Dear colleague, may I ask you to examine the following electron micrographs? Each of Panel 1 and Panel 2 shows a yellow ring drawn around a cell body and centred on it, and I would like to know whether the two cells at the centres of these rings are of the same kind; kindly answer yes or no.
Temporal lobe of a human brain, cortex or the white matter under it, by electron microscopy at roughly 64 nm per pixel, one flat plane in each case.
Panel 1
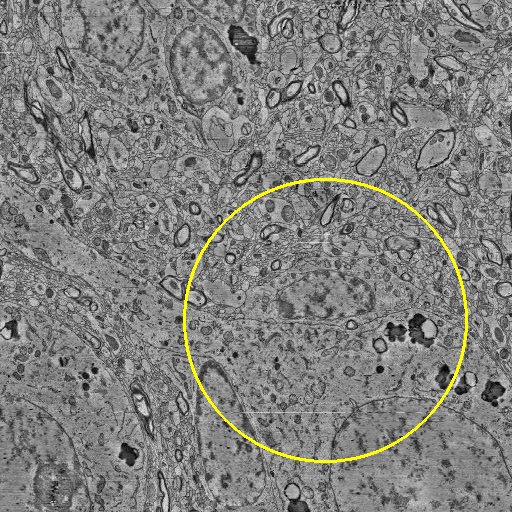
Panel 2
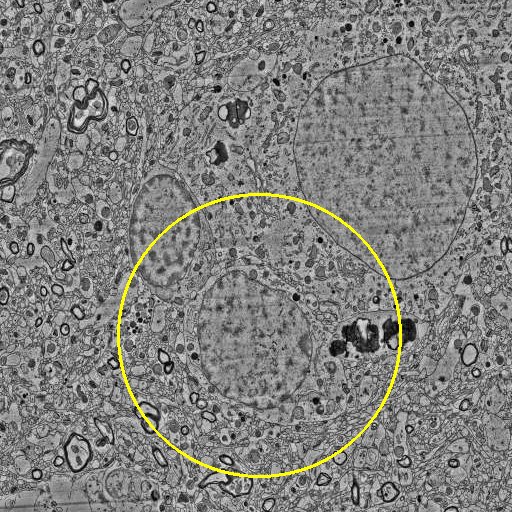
yes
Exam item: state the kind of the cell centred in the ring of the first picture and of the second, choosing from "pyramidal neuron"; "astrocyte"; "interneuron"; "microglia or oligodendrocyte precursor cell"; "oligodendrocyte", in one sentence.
Each one of the two ringed cells is an interneuron.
